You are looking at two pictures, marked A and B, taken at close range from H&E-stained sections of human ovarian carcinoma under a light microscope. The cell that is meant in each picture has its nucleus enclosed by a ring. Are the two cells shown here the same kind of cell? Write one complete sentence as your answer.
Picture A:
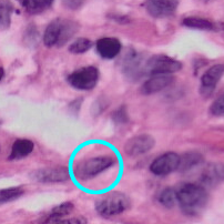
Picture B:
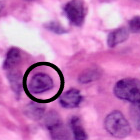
No, the types are not the same, since picture A shows an endothelial cell and picture B a “macrophage or monocyte”.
